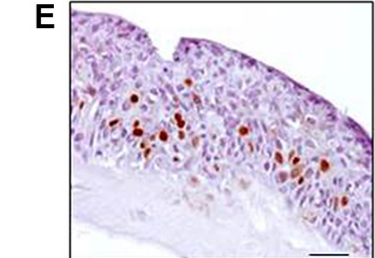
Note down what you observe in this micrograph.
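The epithelium is many cells thick, with crowded oval to rounded nuclei counterstained blue-purple and pinkish cytoplasm. Layering is disorderly, with nuclei remaining large and rounded well toward the surface and little sign of an orderly flattening of upper cells. A thin, darker band marks the top surface, which shows a small notch.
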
